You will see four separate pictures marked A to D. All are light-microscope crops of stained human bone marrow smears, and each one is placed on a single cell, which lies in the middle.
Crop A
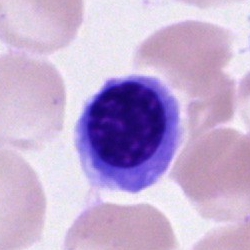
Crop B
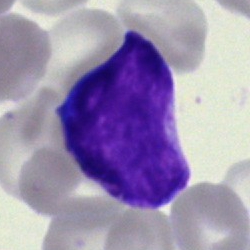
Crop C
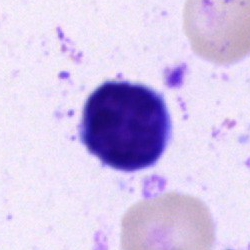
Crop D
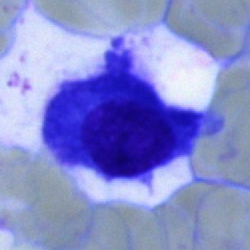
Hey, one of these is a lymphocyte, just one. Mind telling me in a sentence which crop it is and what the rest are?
Crop C is recognised as a lymphocyte, whereas crop A is an erythroblast, crop B is a blast and crop D is a plasma cell.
